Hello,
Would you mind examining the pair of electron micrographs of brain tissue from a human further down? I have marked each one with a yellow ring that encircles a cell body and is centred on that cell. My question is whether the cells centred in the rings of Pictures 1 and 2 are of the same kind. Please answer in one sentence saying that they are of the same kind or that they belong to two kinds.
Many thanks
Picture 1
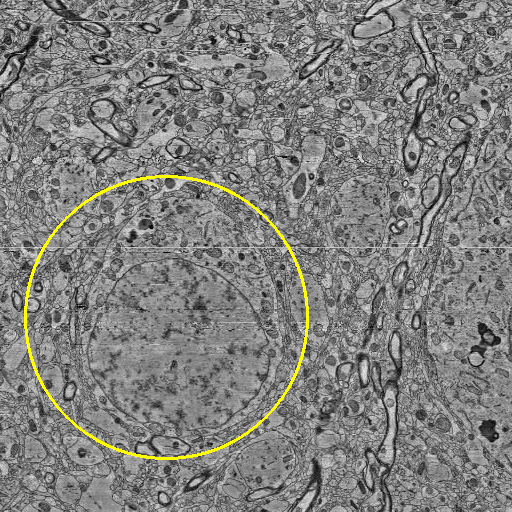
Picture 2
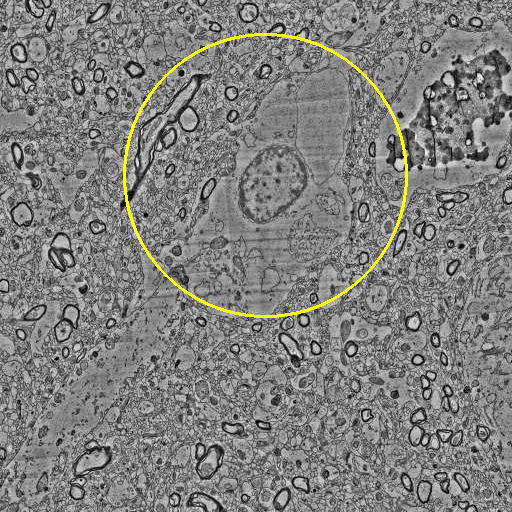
In Pictures 1 and 2, the cells at the heart of the rings belong to two kinds.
